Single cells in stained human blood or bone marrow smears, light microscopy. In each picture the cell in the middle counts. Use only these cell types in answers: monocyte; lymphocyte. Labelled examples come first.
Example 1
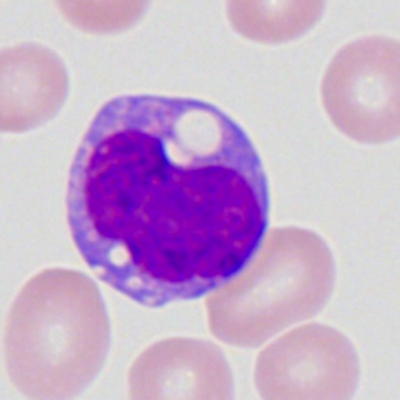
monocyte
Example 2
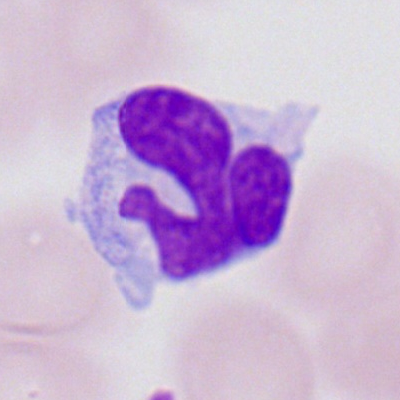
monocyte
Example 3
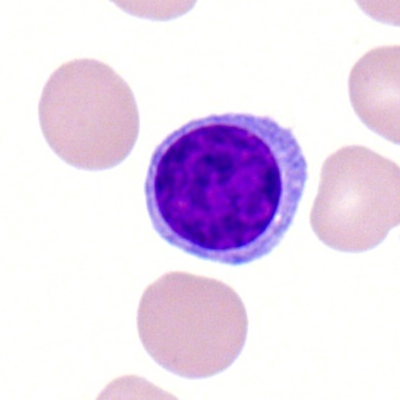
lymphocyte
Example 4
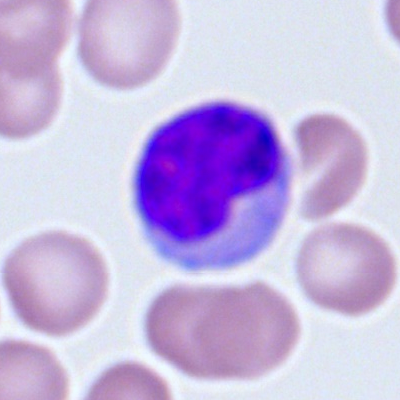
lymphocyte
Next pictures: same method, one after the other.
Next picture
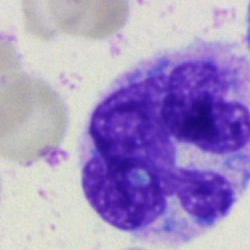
monocyte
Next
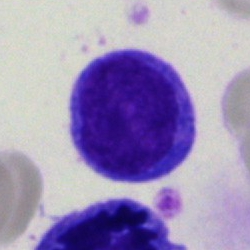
lymphocyte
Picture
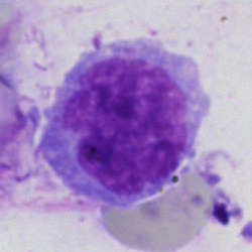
monocyte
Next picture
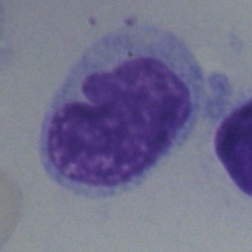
monocyte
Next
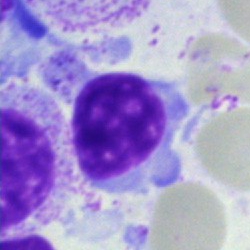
lymphocyte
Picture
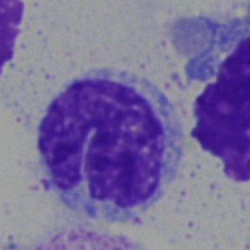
monocyte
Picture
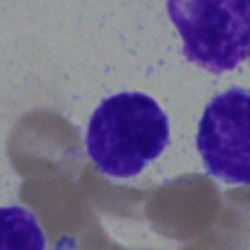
lymphocyte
